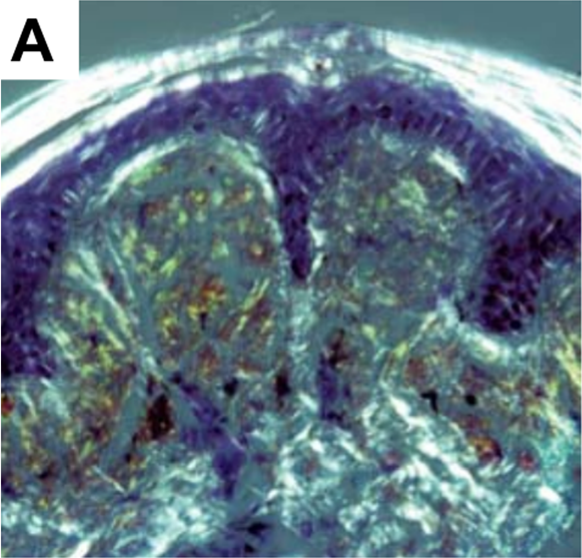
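A section of skin is viewed under polarized light, with the epidermis as a dark purple band along the top and dipping down between rounded dermal papillae. The papillae beneath it are expanded and filled with material that glows green-yellow and orange against the dark background. This birefringent material extends downward into the upper dermis below the papillae. Paler, streaky white birefringent fibres run through the dermis around the deposits. A thin bright layer of surface keratin covers the epidermis.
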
